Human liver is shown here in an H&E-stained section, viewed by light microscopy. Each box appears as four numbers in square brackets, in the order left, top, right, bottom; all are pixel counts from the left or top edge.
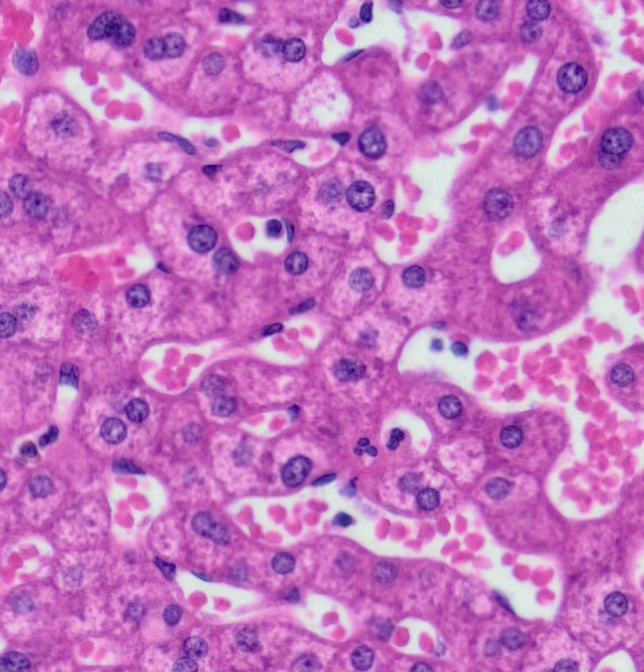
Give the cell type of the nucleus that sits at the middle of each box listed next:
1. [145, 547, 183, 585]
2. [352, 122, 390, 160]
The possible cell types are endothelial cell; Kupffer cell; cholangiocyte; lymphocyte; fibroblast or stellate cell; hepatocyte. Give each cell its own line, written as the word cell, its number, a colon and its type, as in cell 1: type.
cell 1: fibroblast or stellate cell
cell 2: hepatocyte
